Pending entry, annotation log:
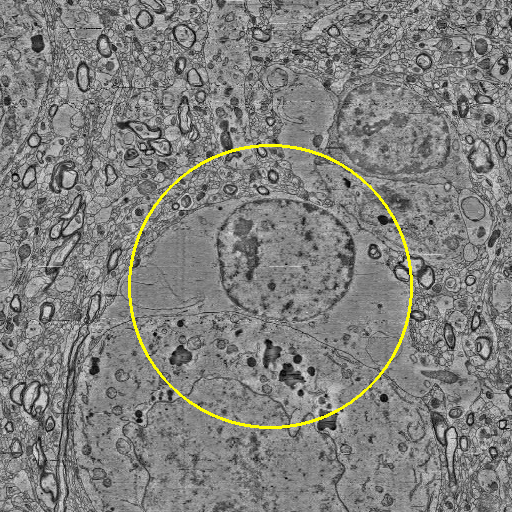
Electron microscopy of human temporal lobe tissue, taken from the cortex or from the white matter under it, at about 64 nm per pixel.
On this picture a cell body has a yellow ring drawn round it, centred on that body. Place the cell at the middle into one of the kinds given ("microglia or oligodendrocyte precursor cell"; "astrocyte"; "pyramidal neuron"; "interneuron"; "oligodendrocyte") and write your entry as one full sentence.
The cell body at the middle of the yellow ring belongs to an astrocyte.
